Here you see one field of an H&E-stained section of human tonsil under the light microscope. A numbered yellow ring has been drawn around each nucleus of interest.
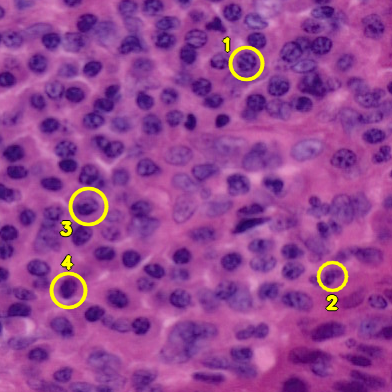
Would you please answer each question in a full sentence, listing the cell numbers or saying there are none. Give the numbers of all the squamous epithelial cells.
Among the labelled cells, only the cell labelled 2 is a squamous epithelial cell.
